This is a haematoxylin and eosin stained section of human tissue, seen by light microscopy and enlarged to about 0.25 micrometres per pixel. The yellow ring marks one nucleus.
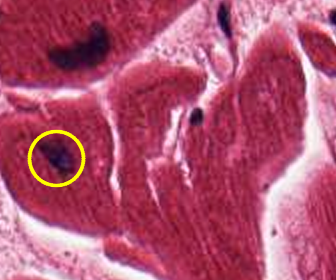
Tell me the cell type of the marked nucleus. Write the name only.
cardiomyocyte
